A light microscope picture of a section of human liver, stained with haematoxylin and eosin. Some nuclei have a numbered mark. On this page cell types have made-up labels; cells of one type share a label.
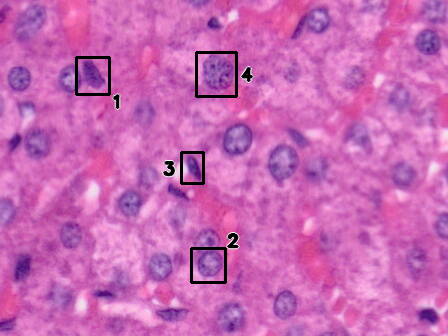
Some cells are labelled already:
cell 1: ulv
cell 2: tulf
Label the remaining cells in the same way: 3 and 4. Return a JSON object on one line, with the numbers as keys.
{"3": "ulv", "4": "tulf"}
